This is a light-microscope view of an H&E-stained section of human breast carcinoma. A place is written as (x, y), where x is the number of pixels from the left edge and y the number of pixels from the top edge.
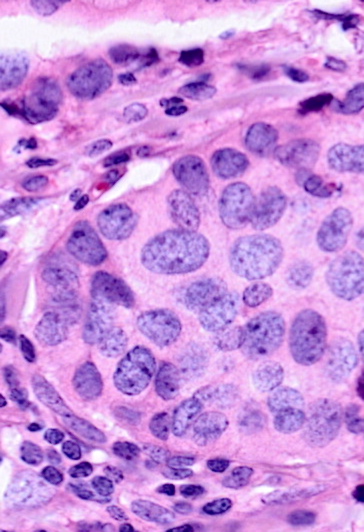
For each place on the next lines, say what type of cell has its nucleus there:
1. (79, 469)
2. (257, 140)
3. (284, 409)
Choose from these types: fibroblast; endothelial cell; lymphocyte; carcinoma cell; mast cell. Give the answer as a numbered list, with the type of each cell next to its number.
1. lymphocyte
2. carcinoma cell
3. carcinoma cell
